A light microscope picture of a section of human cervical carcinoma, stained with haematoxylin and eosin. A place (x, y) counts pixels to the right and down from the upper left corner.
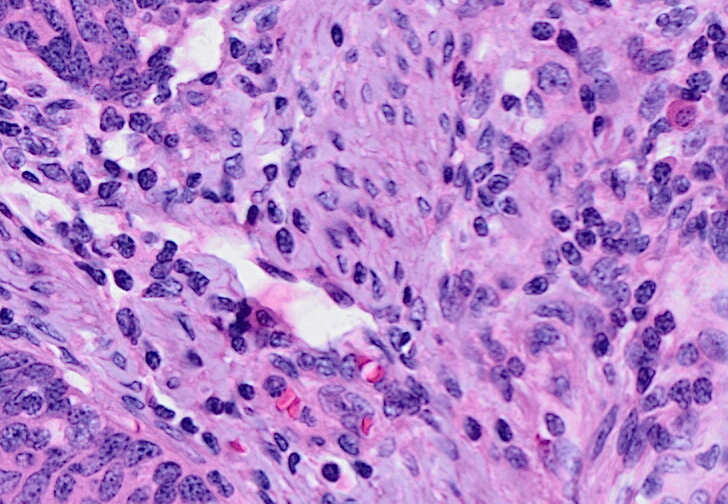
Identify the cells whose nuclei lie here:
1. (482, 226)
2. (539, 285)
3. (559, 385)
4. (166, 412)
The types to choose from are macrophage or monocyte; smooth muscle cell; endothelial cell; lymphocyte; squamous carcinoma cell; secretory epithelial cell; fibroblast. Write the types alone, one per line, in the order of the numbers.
lymphocyte
lymphocyte
endothelial cell
lymphocyte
